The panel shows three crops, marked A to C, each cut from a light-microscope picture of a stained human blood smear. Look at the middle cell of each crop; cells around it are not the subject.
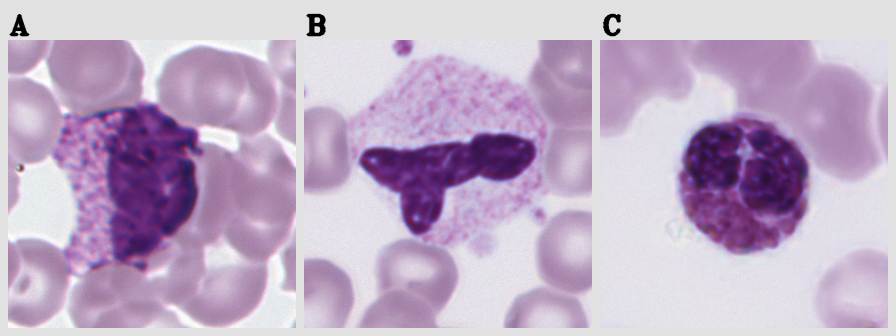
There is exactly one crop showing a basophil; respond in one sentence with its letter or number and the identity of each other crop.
Crop A is recognised as a basophil, whereas crop B is a segmented neutrophil and crop C is an eosinophil.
